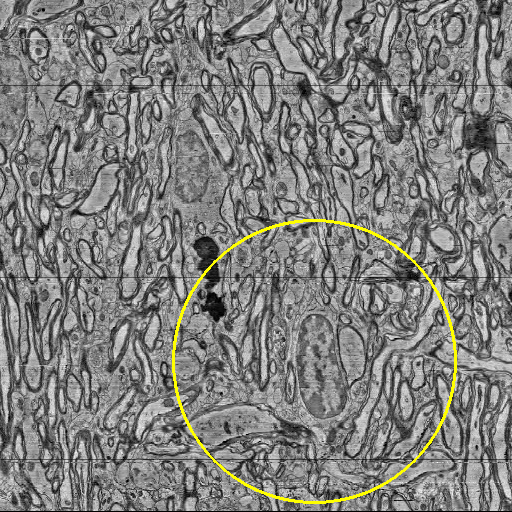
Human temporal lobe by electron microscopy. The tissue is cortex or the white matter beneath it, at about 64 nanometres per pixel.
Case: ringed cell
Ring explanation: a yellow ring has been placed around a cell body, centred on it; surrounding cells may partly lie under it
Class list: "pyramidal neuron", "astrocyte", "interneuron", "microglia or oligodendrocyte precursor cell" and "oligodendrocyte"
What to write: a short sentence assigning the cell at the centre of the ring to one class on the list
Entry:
The cell at the ring's centre is a microglial cell or oligodendrocyte precursor cell.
